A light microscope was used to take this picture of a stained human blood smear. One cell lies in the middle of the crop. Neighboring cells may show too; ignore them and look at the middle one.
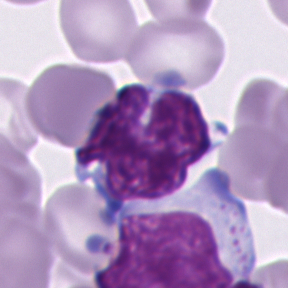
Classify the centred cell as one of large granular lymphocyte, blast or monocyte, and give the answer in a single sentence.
Where the crop is centred, there is a large granular lymphocyte.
